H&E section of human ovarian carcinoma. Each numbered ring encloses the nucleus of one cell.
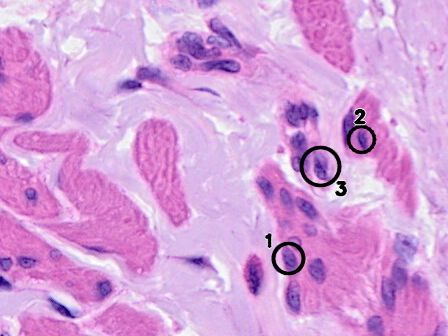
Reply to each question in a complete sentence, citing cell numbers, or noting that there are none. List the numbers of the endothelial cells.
None but cell 3 among the numbered cells is an endothelial cell.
